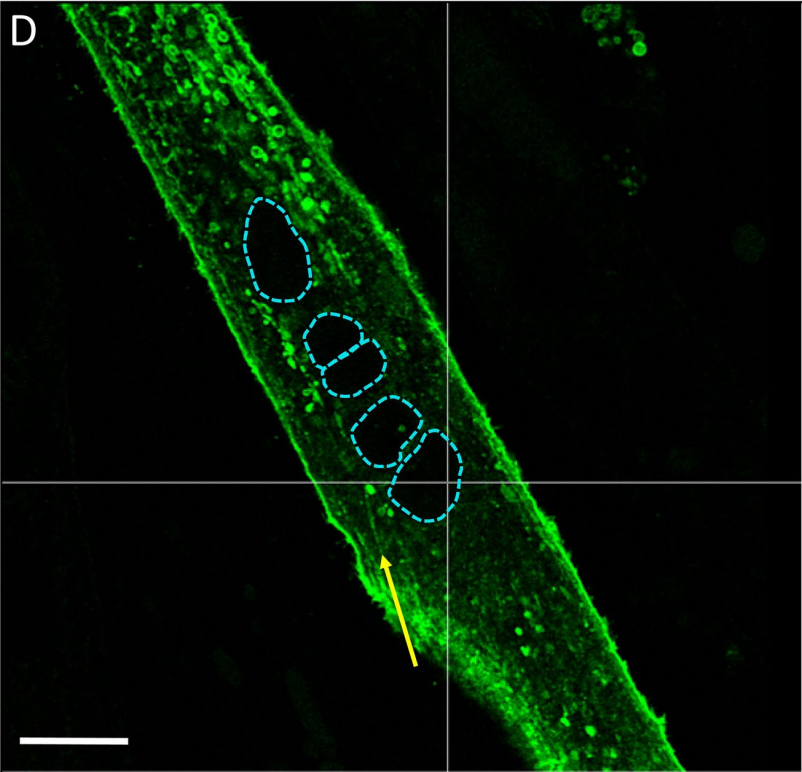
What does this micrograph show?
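This is a single elongated myotube running diagonally across the field, with a bright green outline along its membrane. A row of dark, oval nuclei lies in the middle of the cell, each traced by a blue dashed line. The cytoplasm holds many bright green dots and small rings, especially toward one end.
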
